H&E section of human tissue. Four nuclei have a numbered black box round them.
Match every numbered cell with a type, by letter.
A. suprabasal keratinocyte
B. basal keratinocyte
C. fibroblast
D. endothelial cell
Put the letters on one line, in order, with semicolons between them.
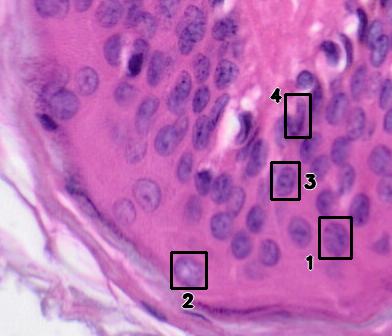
A; A; A; B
